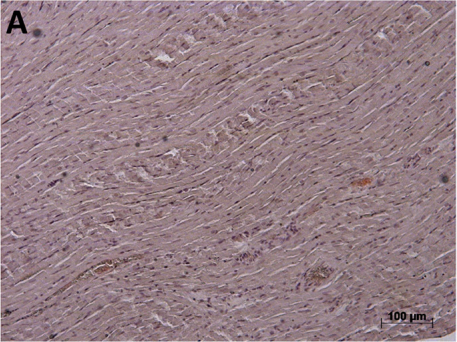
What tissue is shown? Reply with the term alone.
Myocardial.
